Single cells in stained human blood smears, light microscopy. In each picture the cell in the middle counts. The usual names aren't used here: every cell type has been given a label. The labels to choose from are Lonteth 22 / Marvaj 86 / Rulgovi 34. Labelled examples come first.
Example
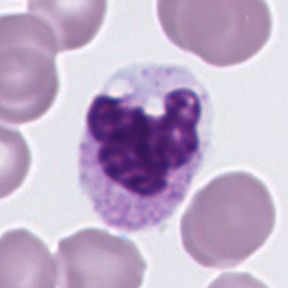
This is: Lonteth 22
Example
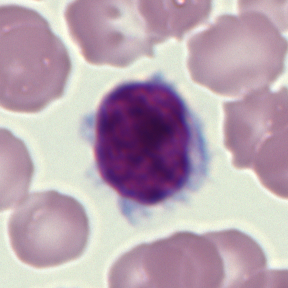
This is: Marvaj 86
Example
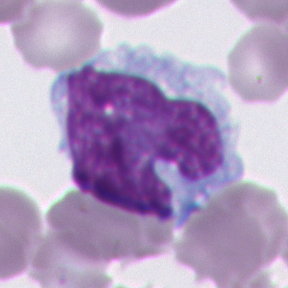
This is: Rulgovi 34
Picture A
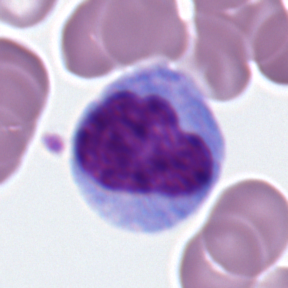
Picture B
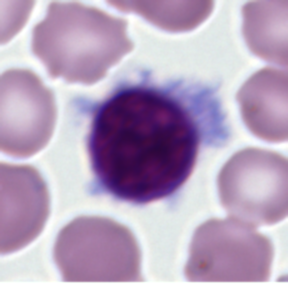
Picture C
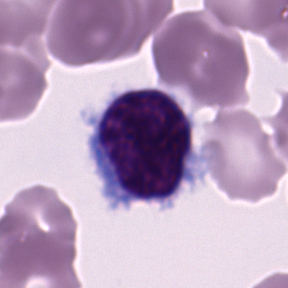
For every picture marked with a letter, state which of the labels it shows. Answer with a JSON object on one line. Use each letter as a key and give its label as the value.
{"A": "Rulgovi 34", "B": "Marvaj 86", "C": "Marvaj 86"}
